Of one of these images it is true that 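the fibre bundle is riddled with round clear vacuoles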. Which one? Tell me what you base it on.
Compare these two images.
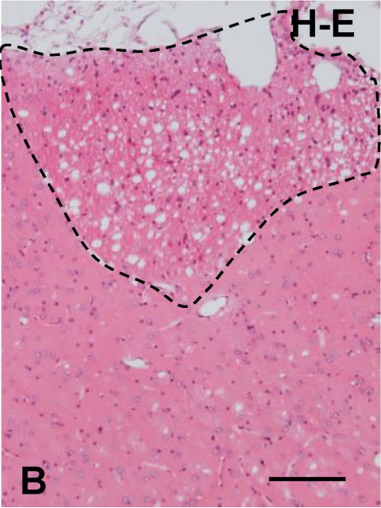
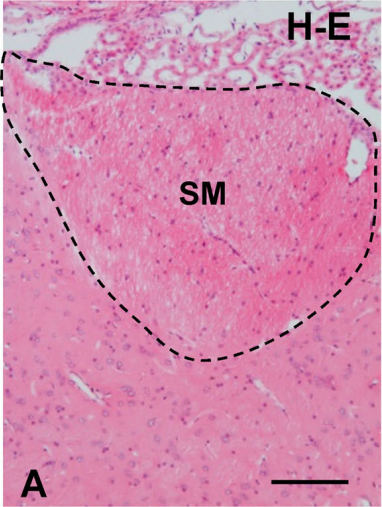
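The first image. First image: the outlined bundle holds many round, empty white holes. Second image: the outlined bundle is evenly pink without clear holes.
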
